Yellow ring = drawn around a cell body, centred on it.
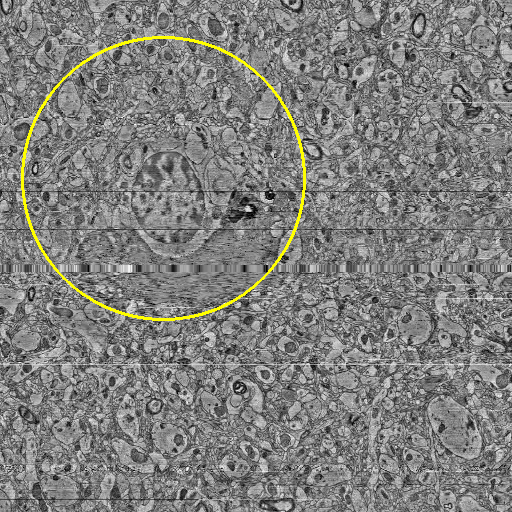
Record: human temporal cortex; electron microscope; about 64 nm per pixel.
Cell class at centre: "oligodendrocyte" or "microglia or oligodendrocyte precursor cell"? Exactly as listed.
microglia or oligodendrocyte precursor cell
